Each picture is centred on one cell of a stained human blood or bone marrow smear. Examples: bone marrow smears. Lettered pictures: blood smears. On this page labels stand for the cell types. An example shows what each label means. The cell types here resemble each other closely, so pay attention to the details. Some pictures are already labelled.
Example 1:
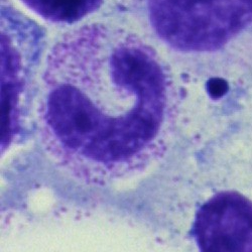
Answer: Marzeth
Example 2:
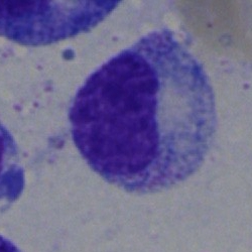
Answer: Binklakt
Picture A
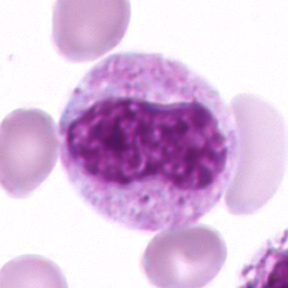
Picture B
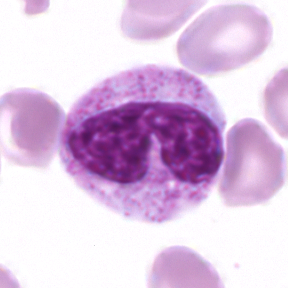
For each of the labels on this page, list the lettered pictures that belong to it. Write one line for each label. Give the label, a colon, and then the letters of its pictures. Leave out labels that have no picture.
Marzeth: B
Binklakt: A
